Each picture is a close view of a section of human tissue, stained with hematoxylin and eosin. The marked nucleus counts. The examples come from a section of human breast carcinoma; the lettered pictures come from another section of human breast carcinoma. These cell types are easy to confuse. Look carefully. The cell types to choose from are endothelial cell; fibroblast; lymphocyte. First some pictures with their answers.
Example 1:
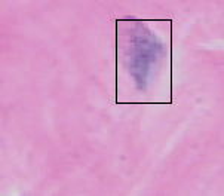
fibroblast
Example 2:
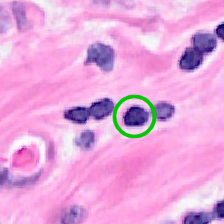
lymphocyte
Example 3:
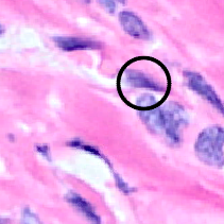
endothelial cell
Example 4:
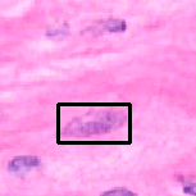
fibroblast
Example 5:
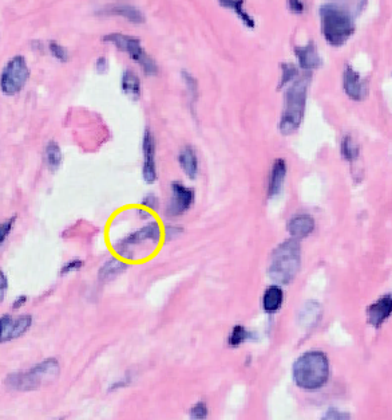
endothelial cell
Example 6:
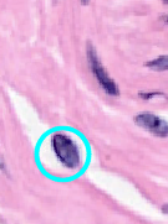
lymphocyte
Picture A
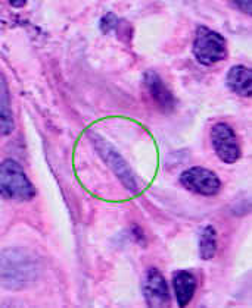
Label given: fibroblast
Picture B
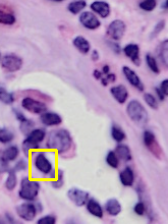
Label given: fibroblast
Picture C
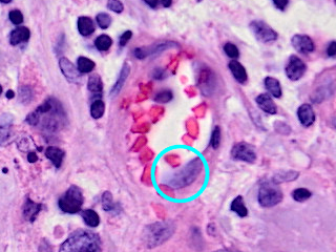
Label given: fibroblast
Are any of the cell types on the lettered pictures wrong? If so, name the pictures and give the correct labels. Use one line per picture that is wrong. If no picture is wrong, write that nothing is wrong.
Wrong: B (fibroblast); correct: lymphocyte
Wrong: C (fibroblast); correct: endothelial cell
